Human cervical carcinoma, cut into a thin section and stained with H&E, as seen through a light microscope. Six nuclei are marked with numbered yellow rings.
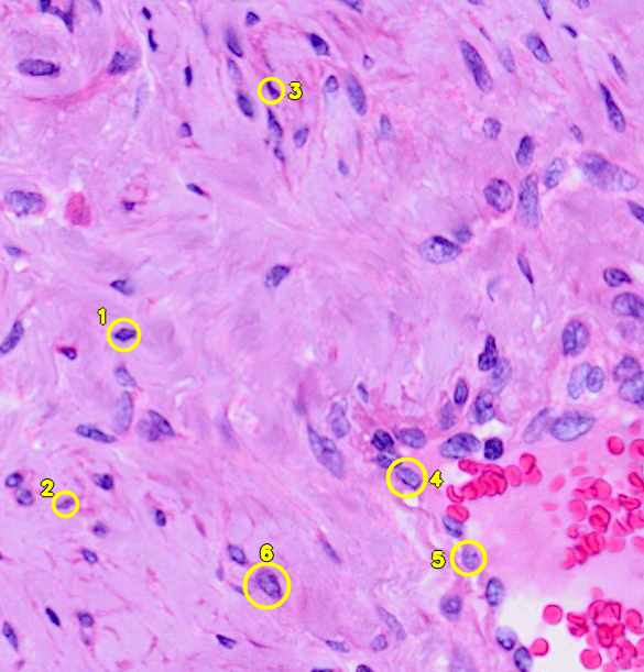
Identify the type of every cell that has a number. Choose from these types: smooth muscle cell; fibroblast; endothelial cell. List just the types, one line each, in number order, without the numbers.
fibroblast
smooth muscle cell
smooth muscle cell
endothelial cell
endothelial cell
smooth muscle cell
